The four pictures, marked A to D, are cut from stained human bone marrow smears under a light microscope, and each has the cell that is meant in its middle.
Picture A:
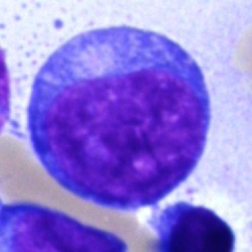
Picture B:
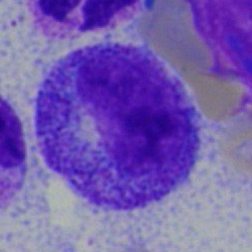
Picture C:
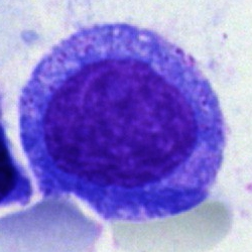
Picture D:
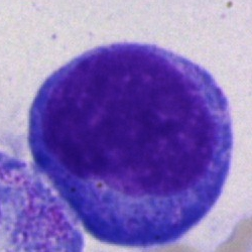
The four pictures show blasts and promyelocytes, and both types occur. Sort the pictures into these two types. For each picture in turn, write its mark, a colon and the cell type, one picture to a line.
A: blast
B: promyelocyte
C: blast
D: blast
